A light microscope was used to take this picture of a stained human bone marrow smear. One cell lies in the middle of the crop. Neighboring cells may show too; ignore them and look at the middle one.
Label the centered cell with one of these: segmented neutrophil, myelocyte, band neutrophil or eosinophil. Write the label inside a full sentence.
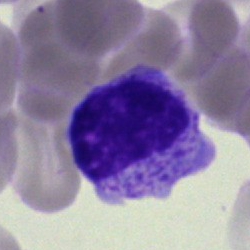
As for the central cell, it is a myelocyte.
